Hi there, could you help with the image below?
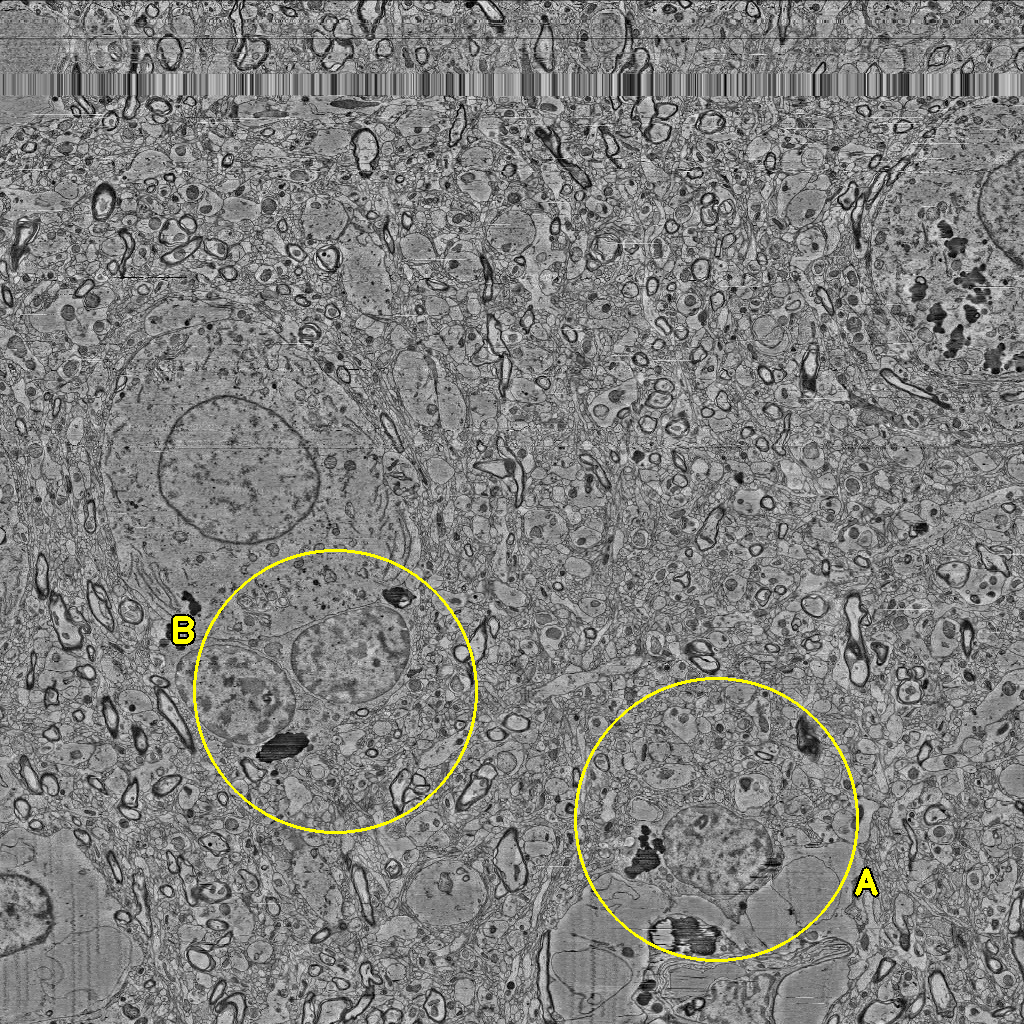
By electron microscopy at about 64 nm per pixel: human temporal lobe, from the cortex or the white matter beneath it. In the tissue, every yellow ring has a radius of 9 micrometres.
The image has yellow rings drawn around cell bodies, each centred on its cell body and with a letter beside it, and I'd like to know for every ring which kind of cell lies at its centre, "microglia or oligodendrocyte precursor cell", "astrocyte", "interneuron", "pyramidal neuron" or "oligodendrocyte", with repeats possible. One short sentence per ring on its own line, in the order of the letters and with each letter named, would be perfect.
Ring A is placed around an oligodendrocyte.
Ring B is placed around an oligodendrocyte.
